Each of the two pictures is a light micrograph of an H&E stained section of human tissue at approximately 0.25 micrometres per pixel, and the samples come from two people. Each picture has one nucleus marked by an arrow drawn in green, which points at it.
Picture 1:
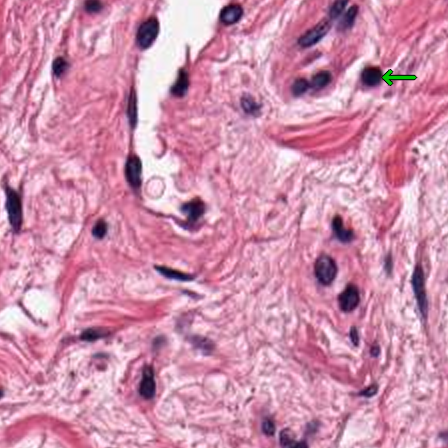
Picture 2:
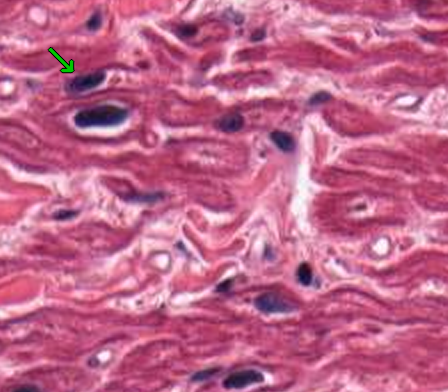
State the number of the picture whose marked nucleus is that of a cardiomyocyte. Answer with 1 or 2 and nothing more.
2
